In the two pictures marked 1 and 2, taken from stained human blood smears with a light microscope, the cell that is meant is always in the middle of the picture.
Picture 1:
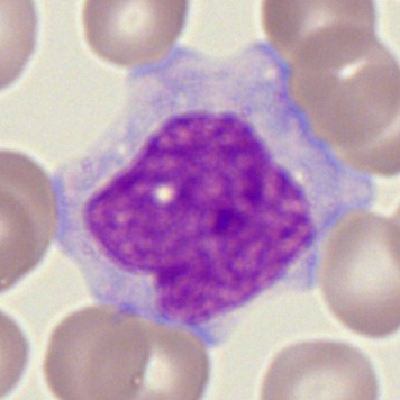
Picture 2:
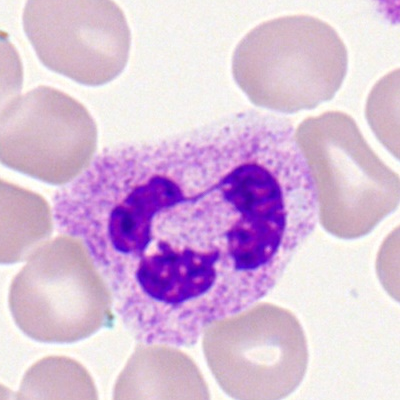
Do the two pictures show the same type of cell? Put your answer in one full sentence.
No, the types are not the same, since picture 1 shows a monocyte and picture 2 a segmented neutrophil.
